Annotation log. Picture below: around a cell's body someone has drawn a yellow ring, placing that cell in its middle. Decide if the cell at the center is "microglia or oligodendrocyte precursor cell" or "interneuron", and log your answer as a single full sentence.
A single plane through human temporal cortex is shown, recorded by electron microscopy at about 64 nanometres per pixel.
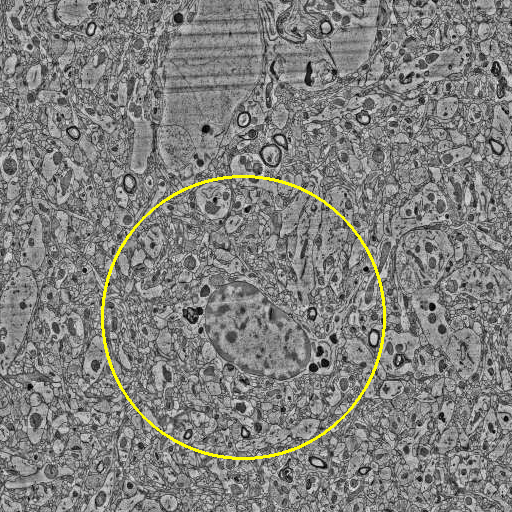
My entry records a microglial cell or oligodendrocyte precursor cell as the cell sitting at the center of the yellow ring.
